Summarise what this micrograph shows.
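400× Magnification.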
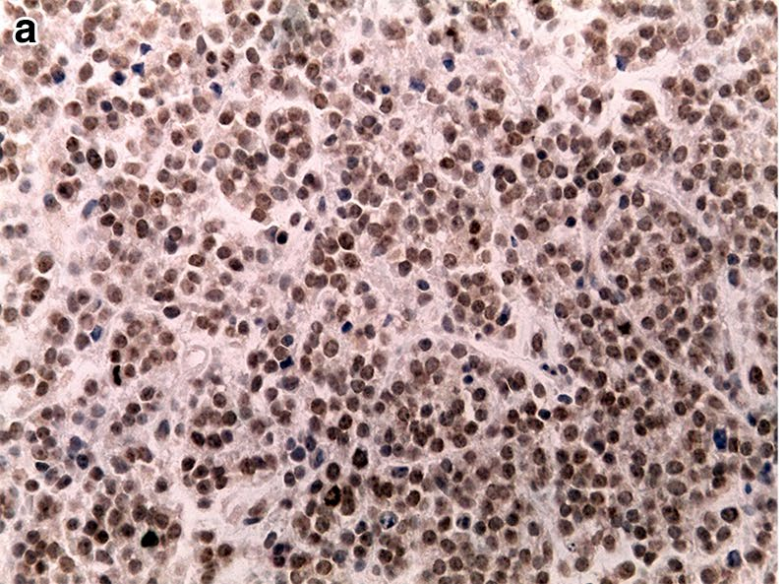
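Densely packed round tumor cells lie in sheets and nests separated by thin pale strands, and nearly all of their round nuclei are stained brown. A few smaller nuclei scattered among them are dark blue rather than brown. The tumor tissue thus shows strong nuclear positivity throughout.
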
